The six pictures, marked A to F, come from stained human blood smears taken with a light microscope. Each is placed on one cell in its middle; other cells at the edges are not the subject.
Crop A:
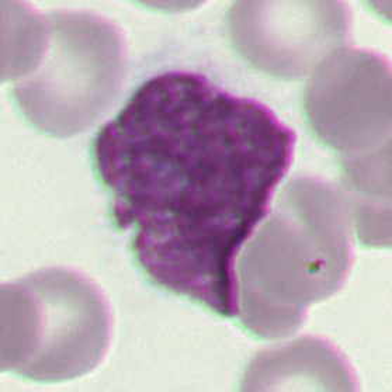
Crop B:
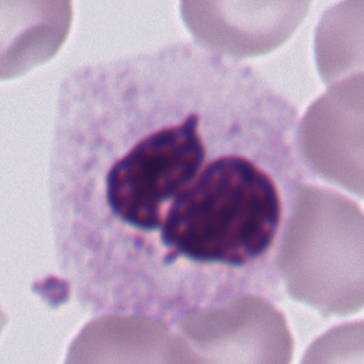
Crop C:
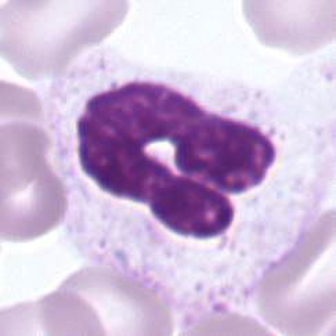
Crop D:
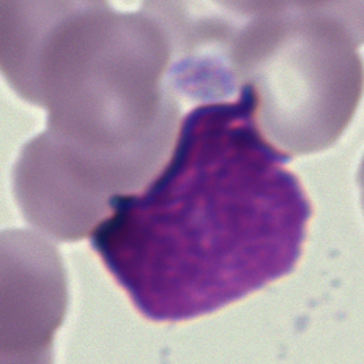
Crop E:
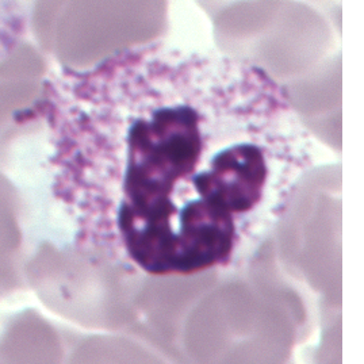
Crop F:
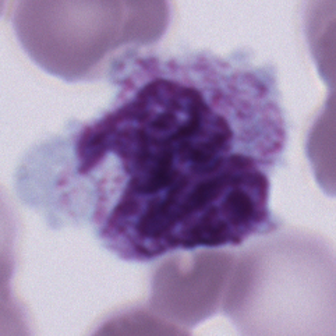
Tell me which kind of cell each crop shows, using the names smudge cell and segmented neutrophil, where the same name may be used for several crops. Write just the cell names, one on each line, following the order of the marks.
smudge cell
segmented neutrophil
segmented neutrophil
smudge cell
segmented neutrophil
segmented neutrophil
